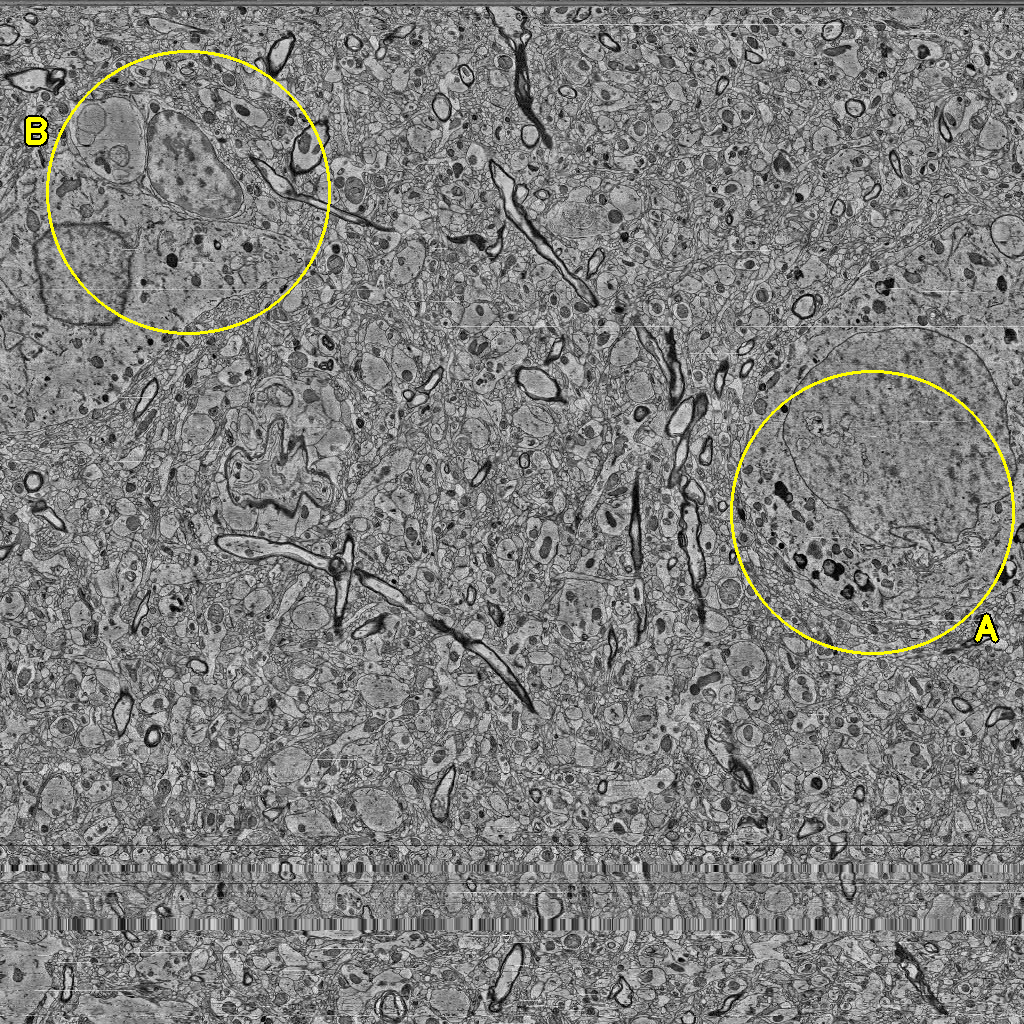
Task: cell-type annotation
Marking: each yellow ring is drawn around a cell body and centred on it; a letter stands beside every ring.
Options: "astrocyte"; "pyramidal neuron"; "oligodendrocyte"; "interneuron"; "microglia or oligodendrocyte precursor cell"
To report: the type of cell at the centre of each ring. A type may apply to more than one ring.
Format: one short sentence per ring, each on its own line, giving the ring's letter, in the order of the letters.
Ring A is centred on a pyramidal neuron.
Ring B is centred on a microglial cell or oligodendrocyte precursor cell.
